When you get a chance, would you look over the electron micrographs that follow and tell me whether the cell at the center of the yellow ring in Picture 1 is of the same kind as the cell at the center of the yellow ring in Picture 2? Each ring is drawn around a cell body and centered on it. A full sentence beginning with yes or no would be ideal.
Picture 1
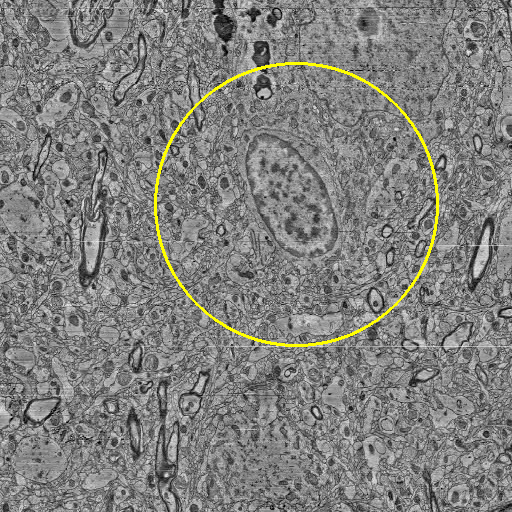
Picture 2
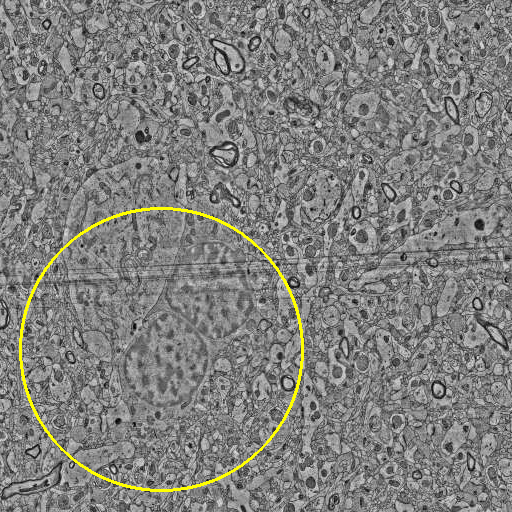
Yes, the two cells are of the same kind.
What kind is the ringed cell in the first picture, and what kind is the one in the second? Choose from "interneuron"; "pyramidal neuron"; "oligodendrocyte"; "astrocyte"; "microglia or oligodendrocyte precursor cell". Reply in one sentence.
Each of the two pictures has an oligodendrocyte at the ring centre.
